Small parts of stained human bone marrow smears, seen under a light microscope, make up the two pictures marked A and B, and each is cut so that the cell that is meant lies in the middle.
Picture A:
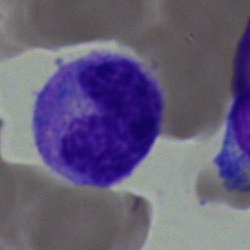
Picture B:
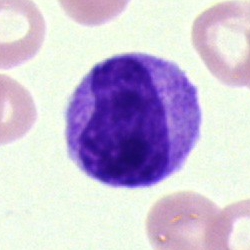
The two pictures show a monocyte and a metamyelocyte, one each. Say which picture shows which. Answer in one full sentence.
The cell in picture A is a monocyte, and the one in picture B is a metamyelocyte.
